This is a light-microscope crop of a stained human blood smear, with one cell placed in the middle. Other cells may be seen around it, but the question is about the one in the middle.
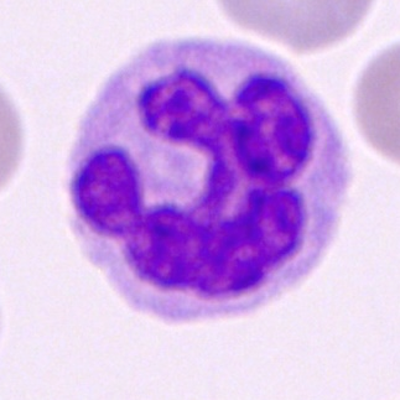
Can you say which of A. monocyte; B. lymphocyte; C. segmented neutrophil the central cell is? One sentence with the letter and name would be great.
The cell centred in the crop is a monocyte, and the correct option is thus A.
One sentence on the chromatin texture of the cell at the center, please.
One feature to record is coarsely clumped chromatin.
